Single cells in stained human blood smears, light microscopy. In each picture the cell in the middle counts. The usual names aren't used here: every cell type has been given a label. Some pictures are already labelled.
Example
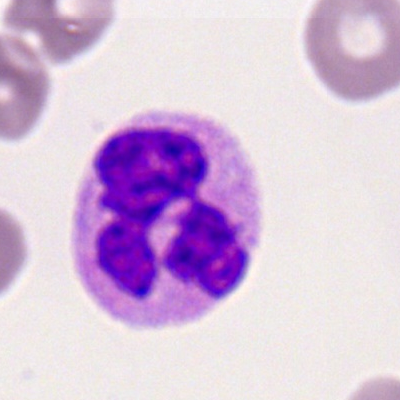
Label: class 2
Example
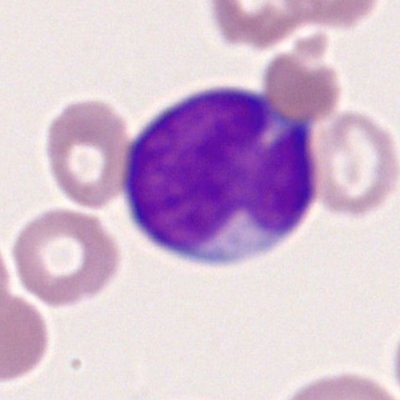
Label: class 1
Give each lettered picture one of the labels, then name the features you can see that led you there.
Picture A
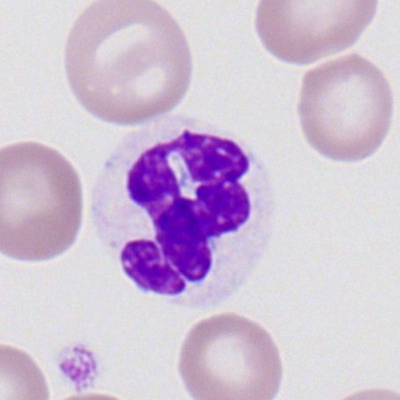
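class 2. Evidence: The nucleus is divided into several lobes joined together.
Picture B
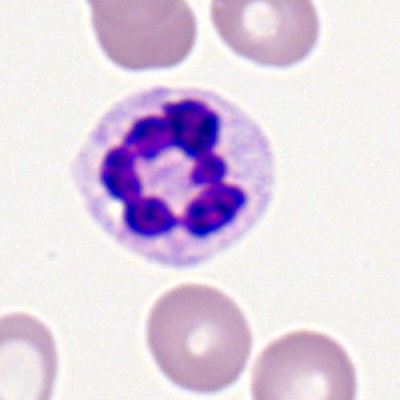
class 2. Evidence: The cytoplasm is plentiful and pale pinkish-lilac.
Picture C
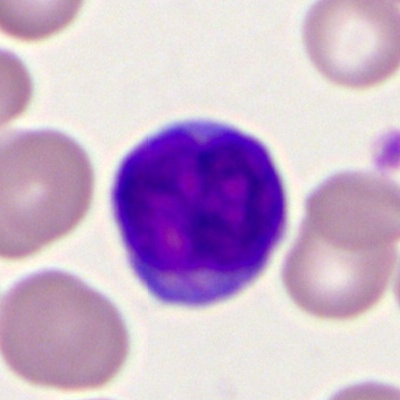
class 1. Evidence: The nucleus fills most of the cell.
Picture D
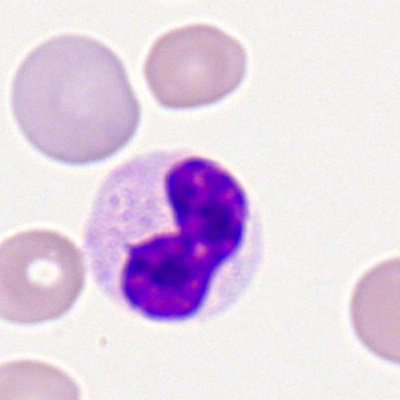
class 2. Evidence: The cytoplasm forms a wide band on the left of the nucleus.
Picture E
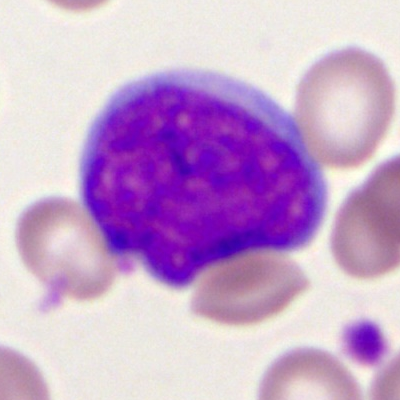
class 1. Evidence: The cytoplasm is only a thin rim around the nucleus.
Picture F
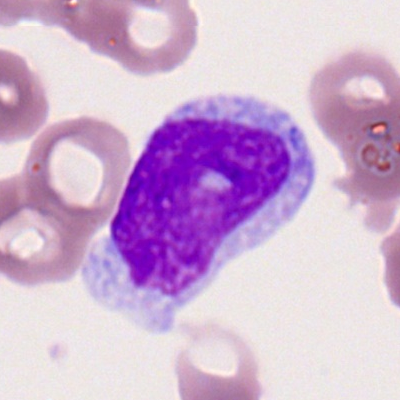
class 1. Evidence: The nucleus is elongated and lies diagonally, filling most of the cell.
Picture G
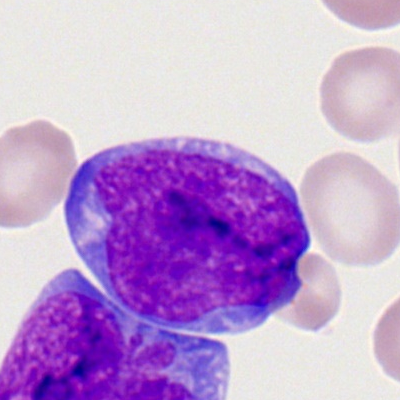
class 1. Evidence: The cytoplasm is a narrow blue rim around the nucleus.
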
